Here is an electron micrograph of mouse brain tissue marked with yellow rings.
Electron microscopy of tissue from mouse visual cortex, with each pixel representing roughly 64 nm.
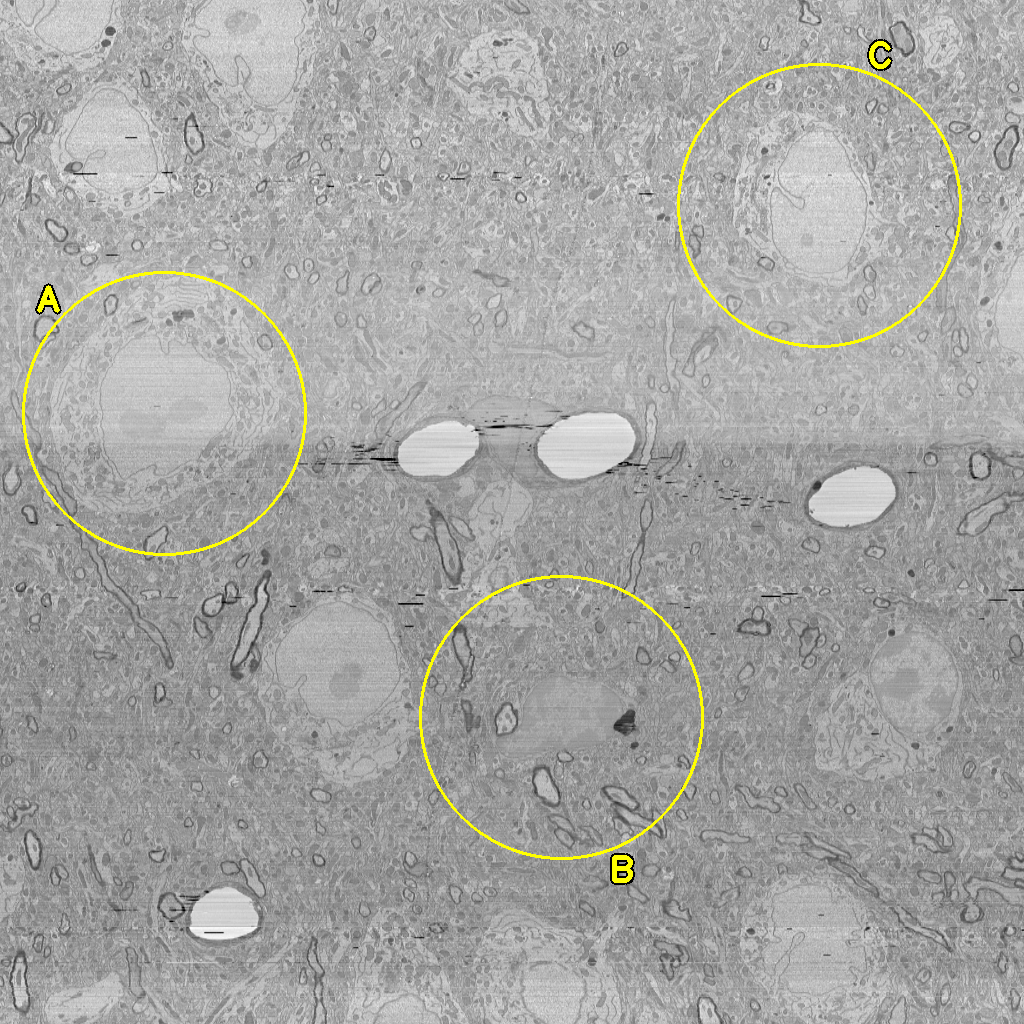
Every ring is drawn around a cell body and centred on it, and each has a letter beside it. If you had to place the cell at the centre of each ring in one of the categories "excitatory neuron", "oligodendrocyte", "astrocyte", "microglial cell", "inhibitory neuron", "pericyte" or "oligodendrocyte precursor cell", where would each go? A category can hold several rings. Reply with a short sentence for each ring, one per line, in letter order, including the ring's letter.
The centre of ring A holds an inhibitory neuron.
The centre of ring B holds a microglial cell.
The centre of ring C holds an inhibitory neuron.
